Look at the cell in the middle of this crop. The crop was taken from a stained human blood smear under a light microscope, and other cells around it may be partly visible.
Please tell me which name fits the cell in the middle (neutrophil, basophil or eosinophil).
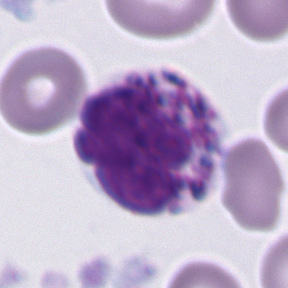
basophil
